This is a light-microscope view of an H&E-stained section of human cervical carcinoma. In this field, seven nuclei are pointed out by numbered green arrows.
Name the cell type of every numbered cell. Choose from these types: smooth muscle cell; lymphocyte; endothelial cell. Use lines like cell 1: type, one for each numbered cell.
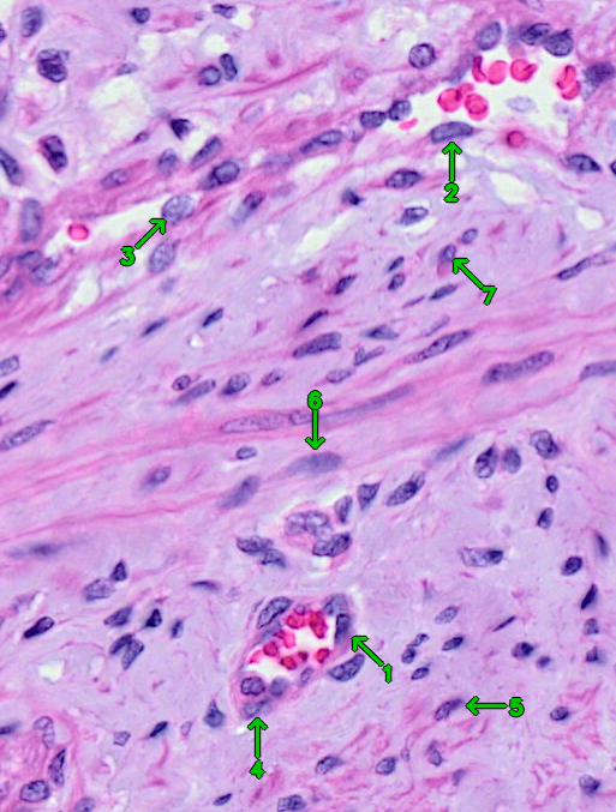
cell 1: endothelial cell
cell 2: endothelial cell
cell 3: endothelial cell
cell 4: endothelial cell
cell 5: smooth muscle cell
cell 6: smooth muscle cell
cell 7: smooth muscle cell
